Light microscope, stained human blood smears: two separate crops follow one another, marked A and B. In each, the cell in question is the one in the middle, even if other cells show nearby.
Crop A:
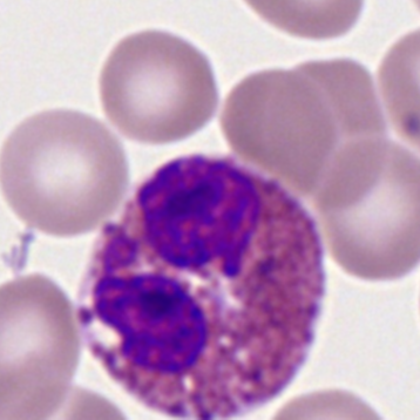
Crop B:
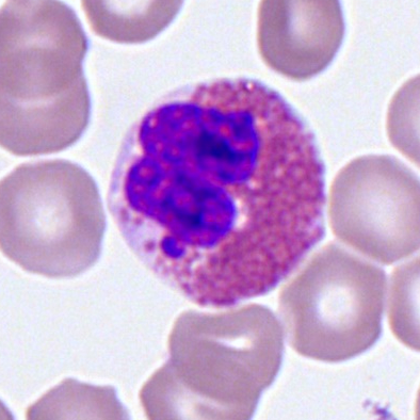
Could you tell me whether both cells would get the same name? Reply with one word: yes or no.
yes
